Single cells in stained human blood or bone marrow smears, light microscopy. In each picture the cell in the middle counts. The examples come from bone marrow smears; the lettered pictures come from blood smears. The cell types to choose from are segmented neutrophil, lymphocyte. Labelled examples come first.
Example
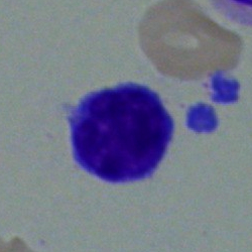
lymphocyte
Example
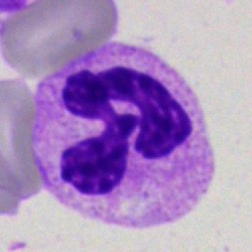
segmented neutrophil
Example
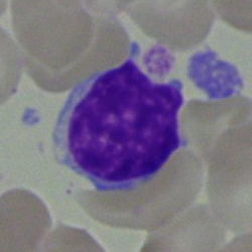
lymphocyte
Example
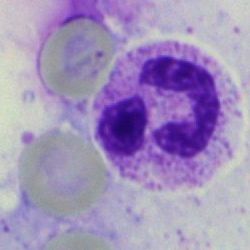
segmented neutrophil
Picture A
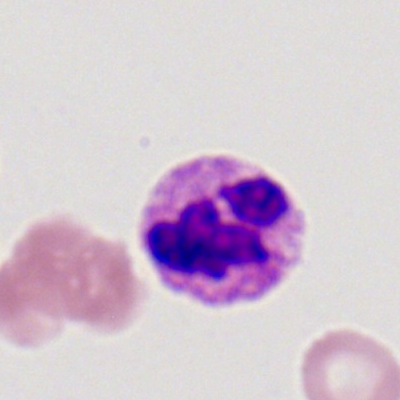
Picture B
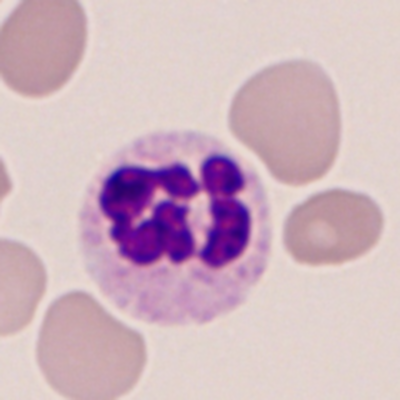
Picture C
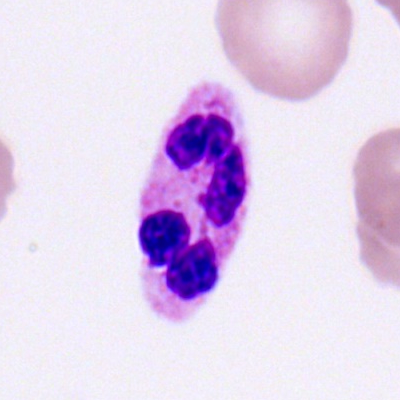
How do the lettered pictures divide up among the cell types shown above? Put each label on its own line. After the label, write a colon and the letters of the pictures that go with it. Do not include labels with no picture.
segmented neutrophil: A, B, C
